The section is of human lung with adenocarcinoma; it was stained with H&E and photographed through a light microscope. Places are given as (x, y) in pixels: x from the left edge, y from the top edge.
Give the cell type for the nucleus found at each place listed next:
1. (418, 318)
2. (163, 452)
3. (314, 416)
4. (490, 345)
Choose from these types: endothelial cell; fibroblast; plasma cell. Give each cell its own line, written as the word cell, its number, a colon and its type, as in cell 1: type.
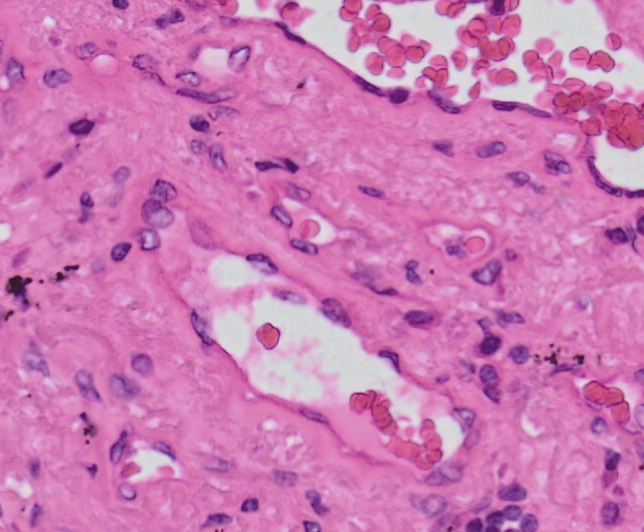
cell 1: plasma cell
cell 2: endothelial cell
cell 3: endothelial cell
cell 4: plasma cell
